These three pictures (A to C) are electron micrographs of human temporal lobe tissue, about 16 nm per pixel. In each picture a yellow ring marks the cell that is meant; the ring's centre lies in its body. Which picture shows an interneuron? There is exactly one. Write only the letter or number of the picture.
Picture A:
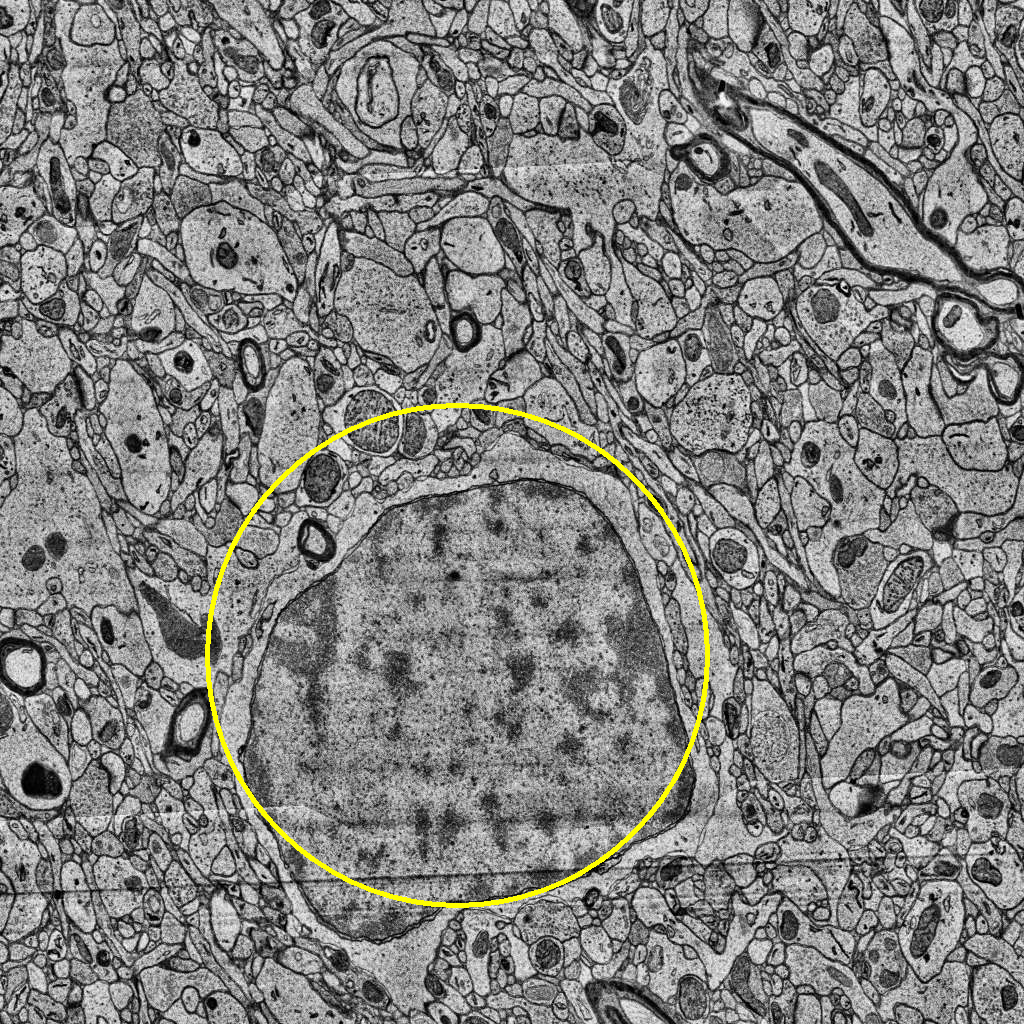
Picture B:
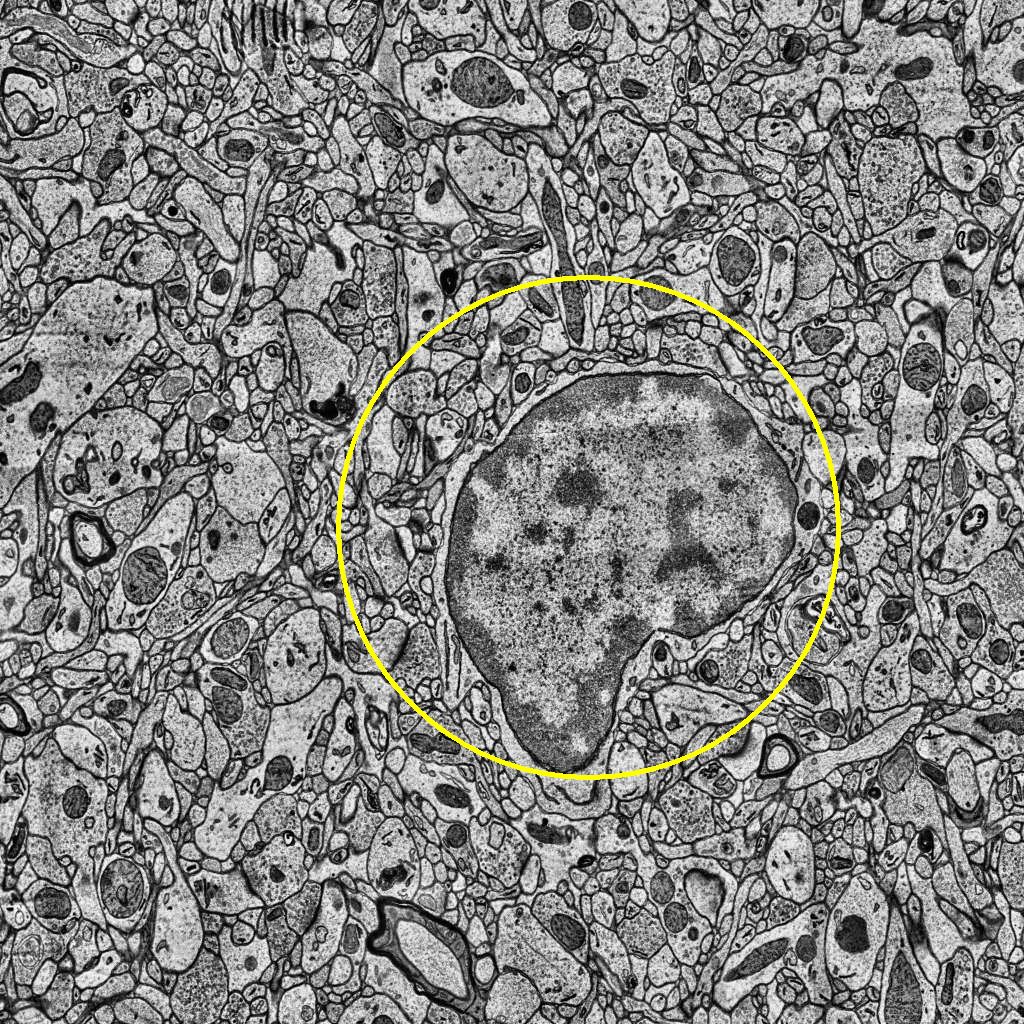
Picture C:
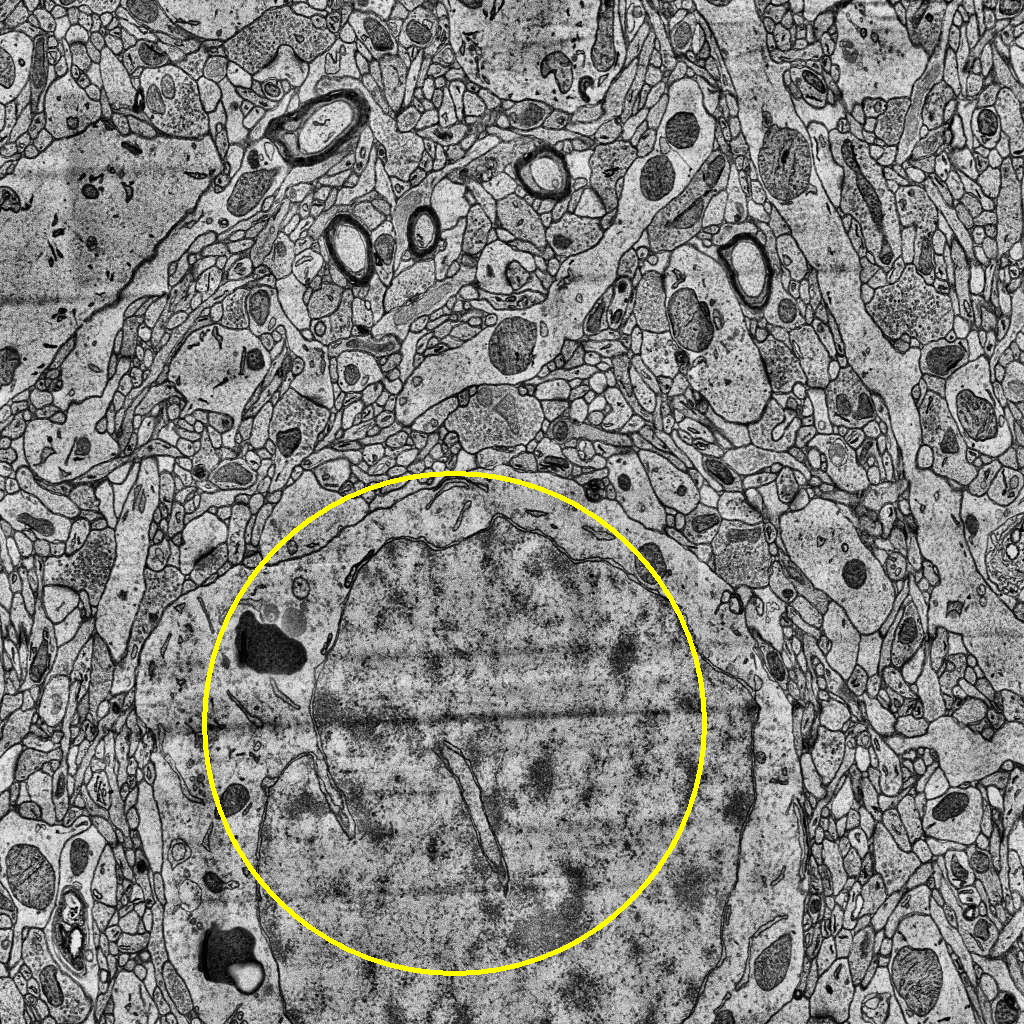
C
